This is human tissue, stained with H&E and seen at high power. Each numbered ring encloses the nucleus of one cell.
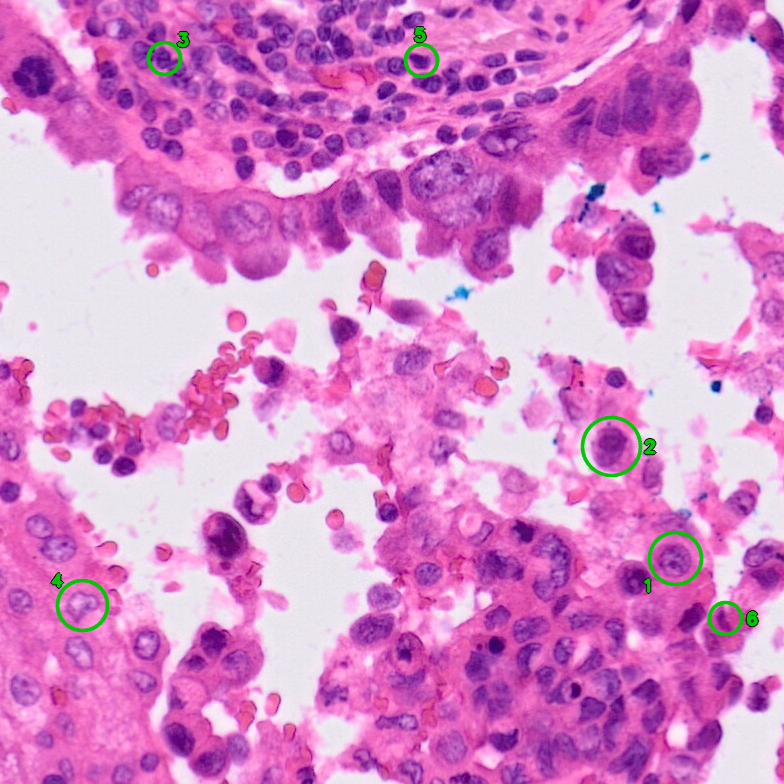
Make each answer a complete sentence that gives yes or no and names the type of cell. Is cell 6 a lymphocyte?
No, cell number 6 is a carcinoma cell; it is not a lymphocyte.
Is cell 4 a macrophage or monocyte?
Yes, the cell corresponding to number 4 is a macrophage or monocyte.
